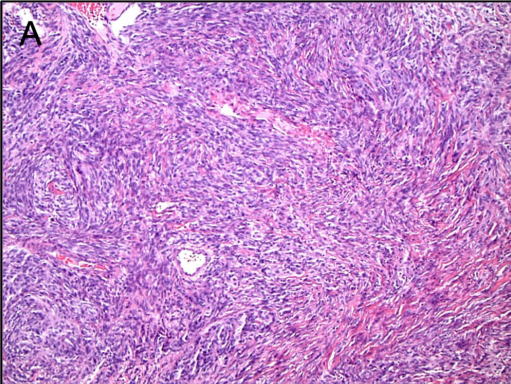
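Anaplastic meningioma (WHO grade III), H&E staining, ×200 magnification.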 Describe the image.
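Highly cellular tumour tissue of meningothelial cells forming sheets and sweeping fascicles. Several rounded whorl-like clusters of cells are seen on the left side. Nuclei are dark purple and crowded, set in scant pink cytoplasm. Small thin-walled vessels and strands of pink collagen run through the tumour.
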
